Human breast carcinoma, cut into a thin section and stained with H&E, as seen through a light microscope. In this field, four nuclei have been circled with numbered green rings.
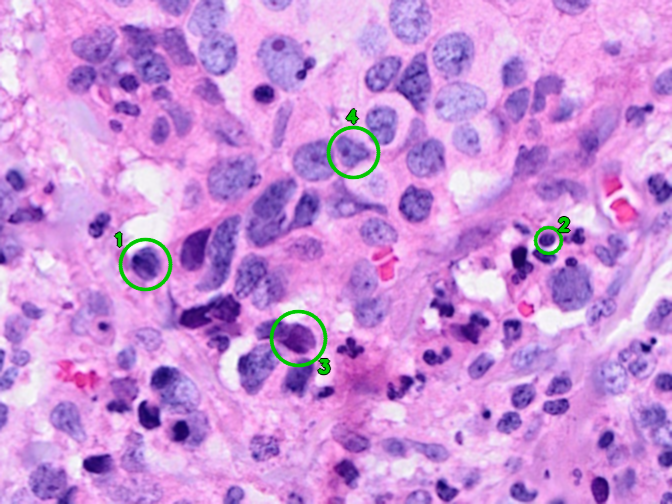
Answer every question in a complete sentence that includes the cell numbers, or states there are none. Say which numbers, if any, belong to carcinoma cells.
Cells 1, 3 and 4 in the section are typed as carcinoma cells.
